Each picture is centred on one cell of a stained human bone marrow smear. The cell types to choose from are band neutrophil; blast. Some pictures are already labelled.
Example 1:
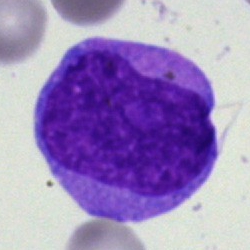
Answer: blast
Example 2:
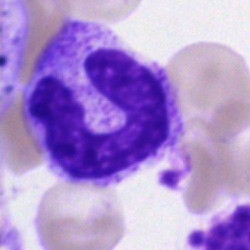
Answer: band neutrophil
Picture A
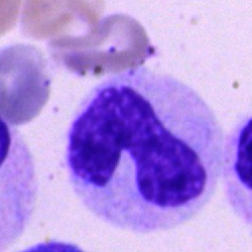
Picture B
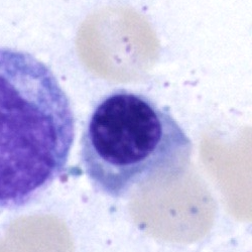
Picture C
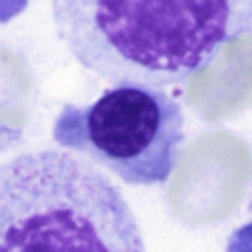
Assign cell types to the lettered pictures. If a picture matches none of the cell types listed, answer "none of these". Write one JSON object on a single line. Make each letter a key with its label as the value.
{"A": "band neutrophil", "B": "none of these", "C": "none of these"}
